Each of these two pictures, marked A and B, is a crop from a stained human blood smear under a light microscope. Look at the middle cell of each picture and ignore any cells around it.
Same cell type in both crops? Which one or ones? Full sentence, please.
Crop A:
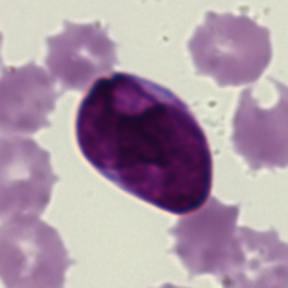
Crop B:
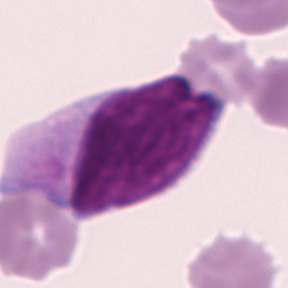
Yes, that is right, both crops show myeloblasts.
